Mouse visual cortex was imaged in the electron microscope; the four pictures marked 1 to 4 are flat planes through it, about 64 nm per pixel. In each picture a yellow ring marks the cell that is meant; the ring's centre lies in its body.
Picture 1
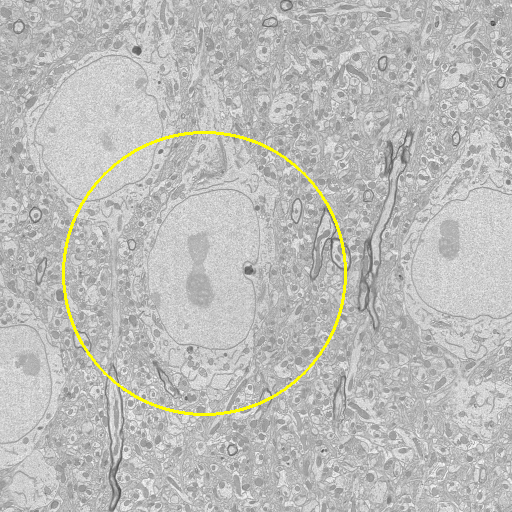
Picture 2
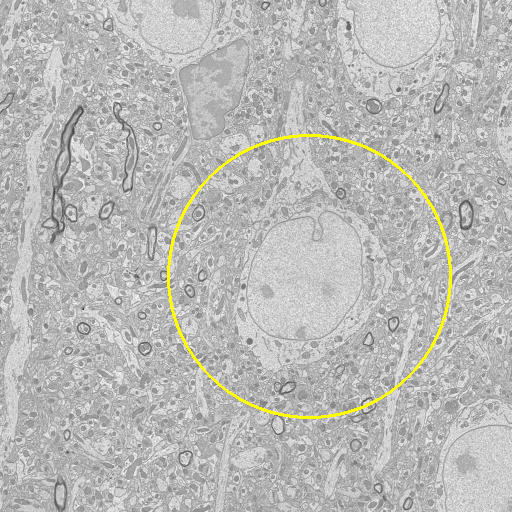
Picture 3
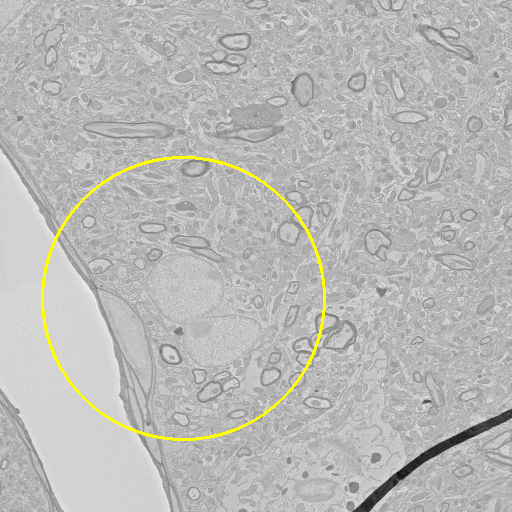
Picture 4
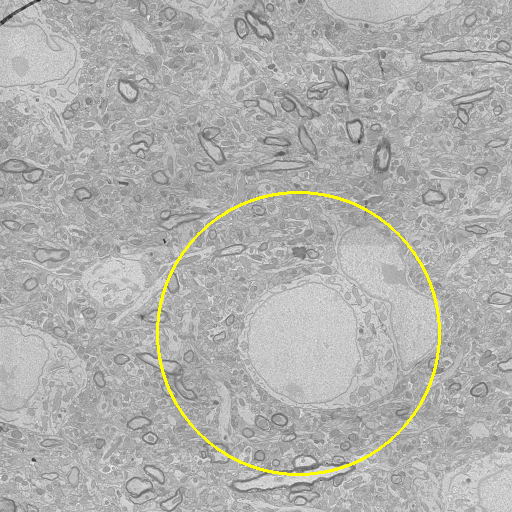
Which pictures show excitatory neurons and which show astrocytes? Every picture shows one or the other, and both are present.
Pictures 1, 2 and 4 show excitatory neurons, and picture 3 shows an astrocyte.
